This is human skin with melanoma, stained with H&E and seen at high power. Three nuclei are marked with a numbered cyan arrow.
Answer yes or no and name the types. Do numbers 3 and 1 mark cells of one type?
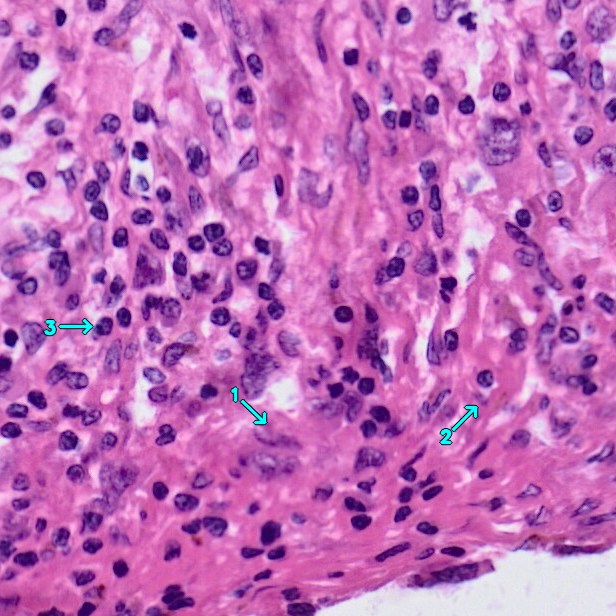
No, cell 3 is a lymphocyte and cell 1 is a melanoma cell.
